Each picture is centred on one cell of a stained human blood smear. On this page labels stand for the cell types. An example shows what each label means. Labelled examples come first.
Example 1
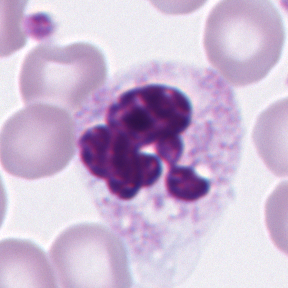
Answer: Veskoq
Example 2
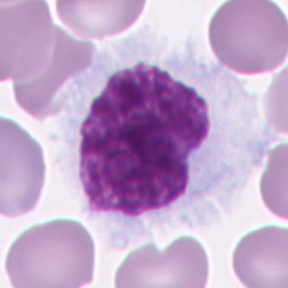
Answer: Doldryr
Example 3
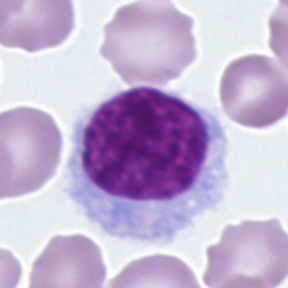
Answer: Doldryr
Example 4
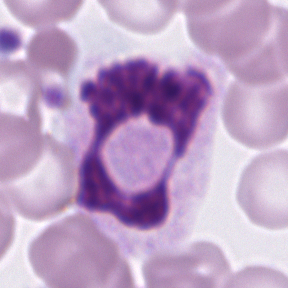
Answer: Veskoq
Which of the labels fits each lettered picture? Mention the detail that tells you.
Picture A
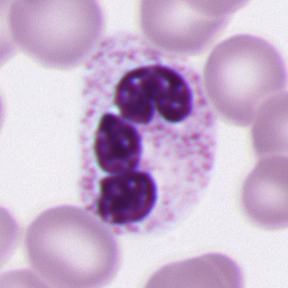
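Veskoq. Reason: The nucleus is divided into separate lobes.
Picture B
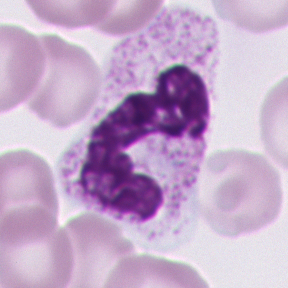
Veskoq. Reason: The nucleus is a single thick band bent into a C shape.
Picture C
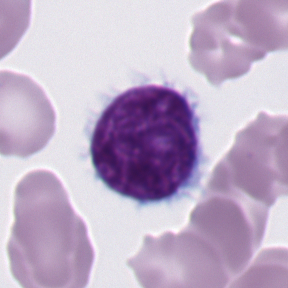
Doldryr. Reason: The cytoplasm is only a very thin pale blue rim around the nucleus.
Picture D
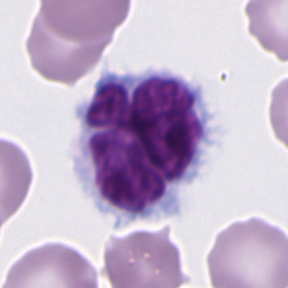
Doldryr. Reason: The cytoplasm forms a narrow rim around the nucleus.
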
